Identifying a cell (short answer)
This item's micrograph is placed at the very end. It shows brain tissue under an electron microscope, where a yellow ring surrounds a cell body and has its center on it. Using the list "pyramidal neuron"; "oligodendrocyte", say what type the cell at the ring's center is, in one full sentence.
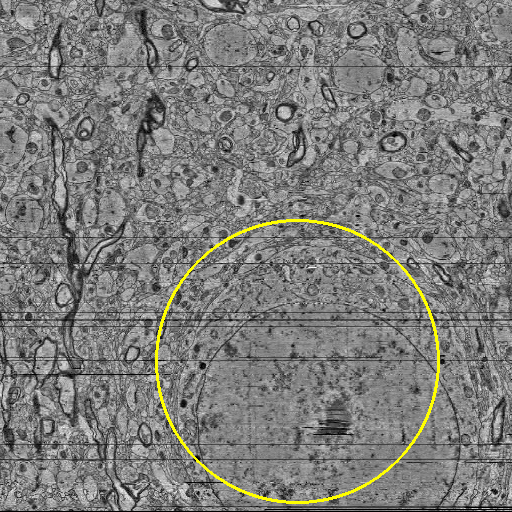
This picture shows a pyramidal neuron at the center of the yellow ring drawn on it.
